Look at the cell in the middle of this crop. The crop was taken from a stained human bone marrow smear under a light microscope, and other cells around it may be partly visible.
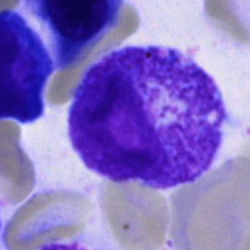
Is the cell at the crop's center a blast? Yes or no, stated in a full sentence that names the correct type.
No, the middle cell is classified as a promyelocyte instead of a blast.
